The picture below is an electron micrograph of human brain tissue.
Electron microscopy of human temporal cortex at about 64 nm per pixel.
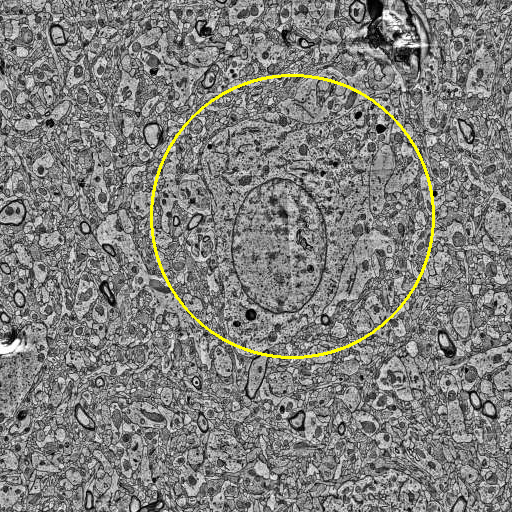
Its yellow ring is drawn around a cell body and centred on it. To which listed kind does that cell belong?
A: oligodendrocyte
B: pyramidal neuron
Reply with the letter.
B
